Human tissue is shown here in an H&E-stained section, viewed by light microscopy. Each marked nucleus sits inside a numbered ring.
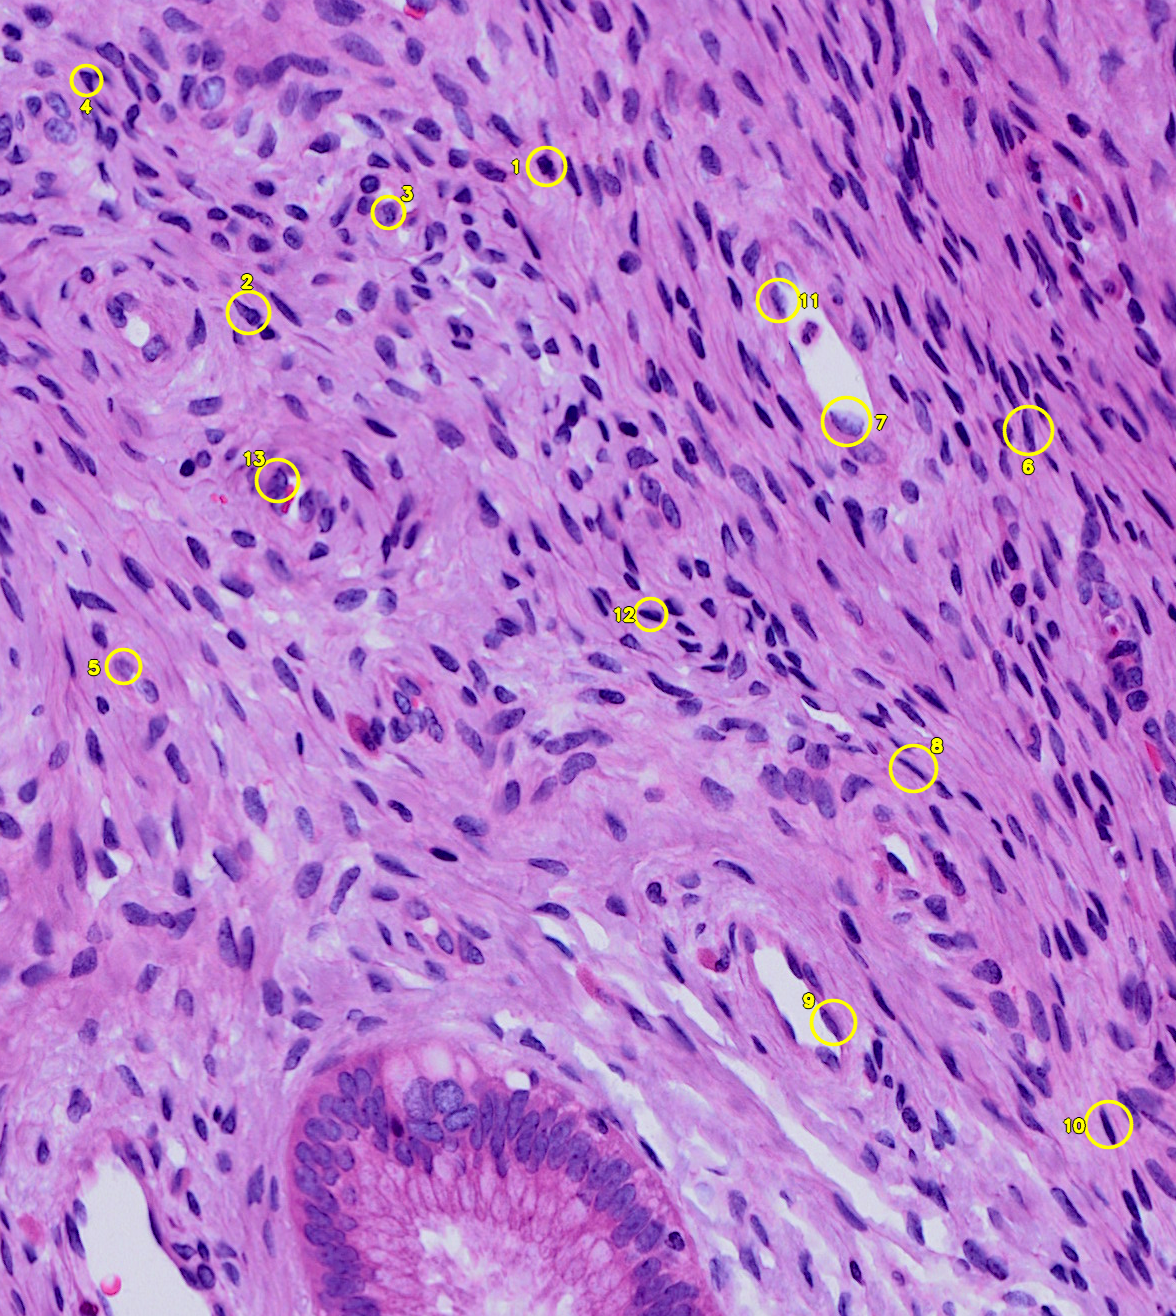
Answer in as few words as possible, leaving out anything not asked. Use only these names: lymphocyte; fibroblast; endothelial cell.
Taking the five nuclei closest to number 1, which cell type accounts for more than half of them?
fibroblast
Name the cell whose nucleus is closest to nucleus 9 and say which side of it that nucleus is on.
an endothelial cell, below nucleus 9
